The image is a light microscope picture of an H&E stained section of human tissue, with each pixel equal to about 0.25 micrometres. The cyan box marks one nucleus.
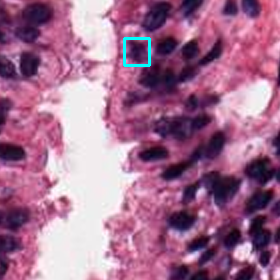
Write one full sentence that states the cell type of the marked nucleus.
The marked nucleus, in this picture, belongs to a prostate gland luminal cell.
